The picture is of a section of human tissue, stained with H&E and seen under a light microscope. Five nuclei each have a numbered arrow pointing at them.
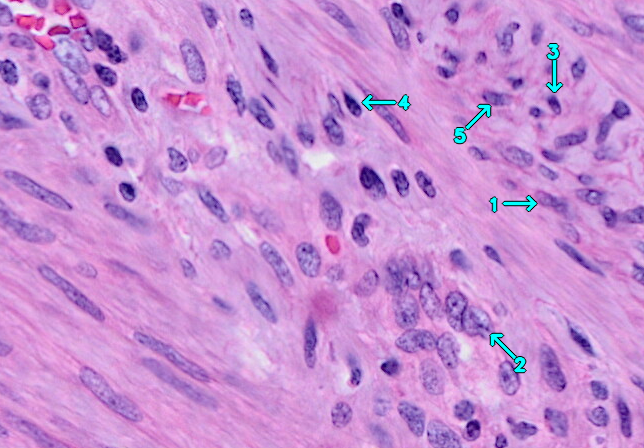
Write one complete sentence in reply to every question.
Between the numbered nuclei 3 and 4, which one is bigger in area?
At about 1.5 times the area of nucleus 3, nucleus 4 is the larger of the two.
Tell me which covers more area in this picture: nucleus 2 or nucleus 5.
Nucleus 2 is the larger one, covering about 1.5 times the area of nucleus 5.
